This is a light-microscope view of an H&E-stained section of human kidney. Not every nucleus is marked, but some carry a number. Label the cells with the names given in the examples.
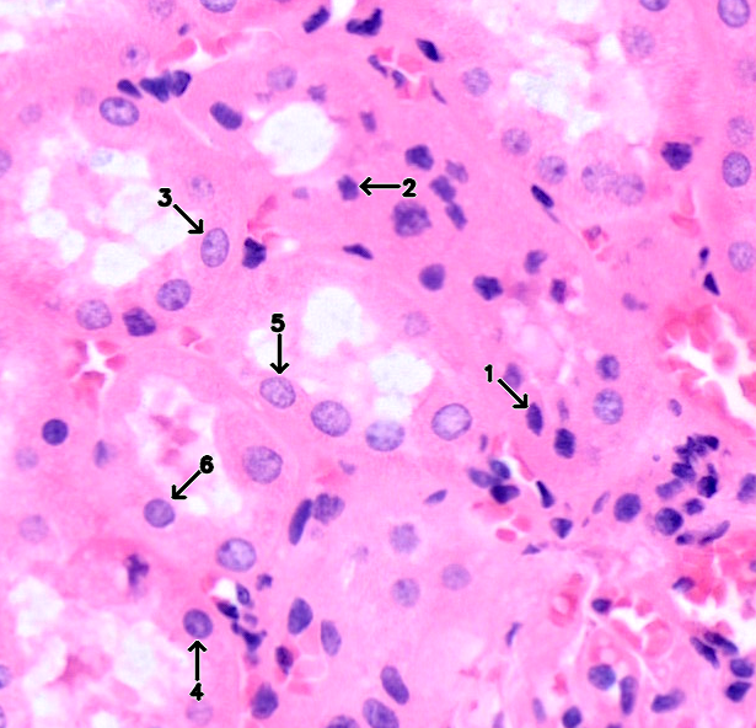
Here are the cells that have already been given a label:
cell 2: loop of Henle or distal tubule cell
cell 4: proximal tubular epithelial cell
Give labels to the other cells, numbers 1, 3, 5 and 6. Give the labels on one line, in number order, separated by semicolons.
loop of Henle or distal tubule cell; proximal tubular epithelial cell; proximal tubular epithelial cell; proximal tubular epithelial cell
